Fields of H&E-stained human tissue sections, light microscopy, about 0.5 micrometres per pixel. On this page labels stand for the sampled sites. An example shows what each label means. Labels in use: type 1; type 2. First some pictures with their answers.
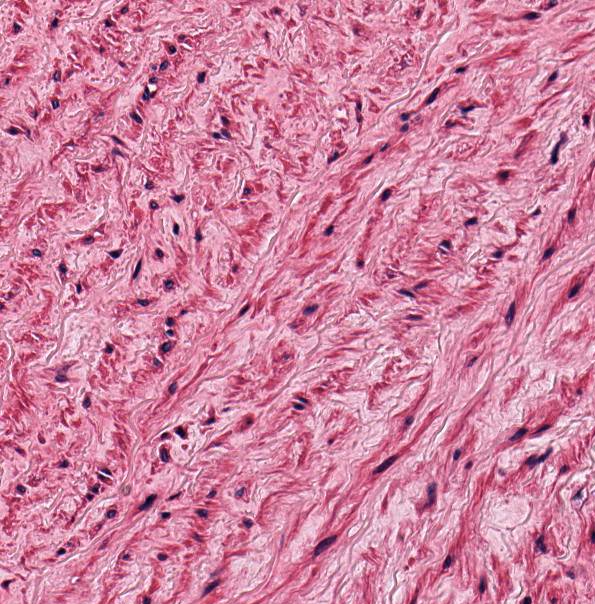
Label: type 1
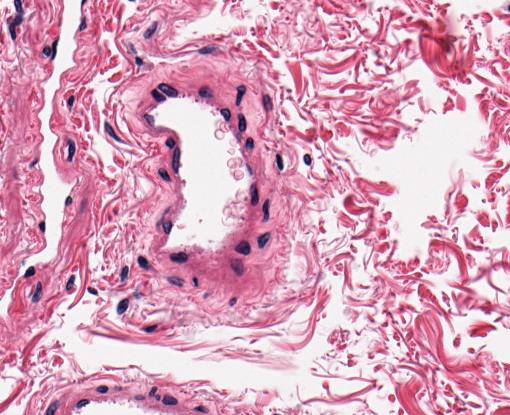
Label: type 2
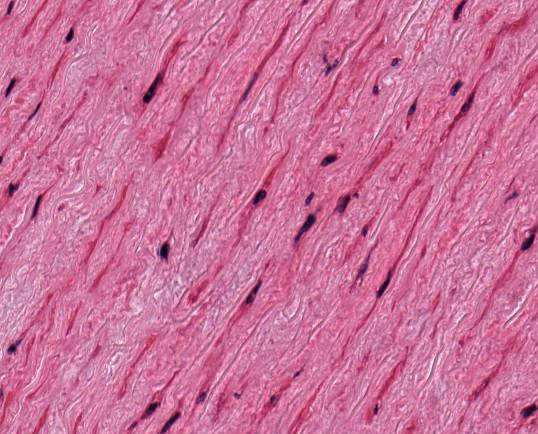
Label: type 1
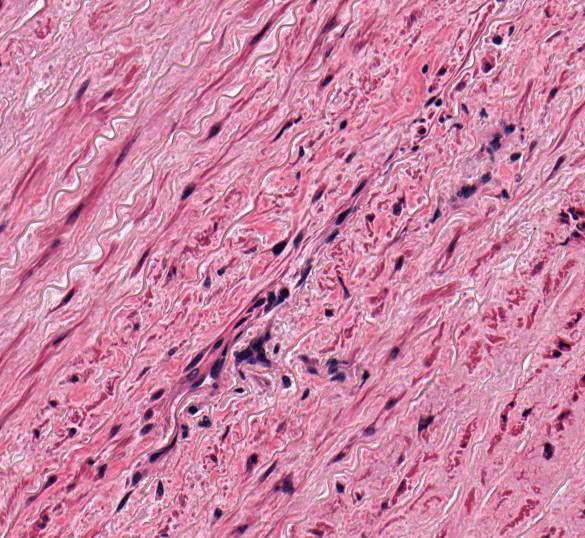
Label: type 1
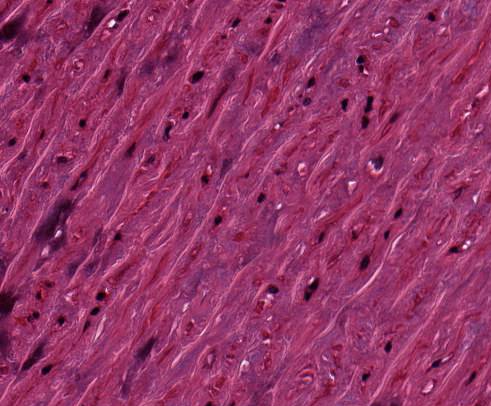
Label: type 1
